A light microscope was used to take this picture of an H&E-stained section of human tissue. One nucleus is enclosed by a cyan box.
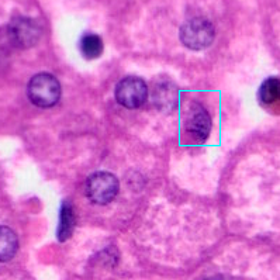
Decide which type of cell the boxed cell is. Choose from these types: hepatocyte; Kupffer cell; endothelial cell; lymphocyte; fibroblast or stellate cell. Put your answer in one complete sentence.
The correct response here is that the boxed cell is a Kupffer cell.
